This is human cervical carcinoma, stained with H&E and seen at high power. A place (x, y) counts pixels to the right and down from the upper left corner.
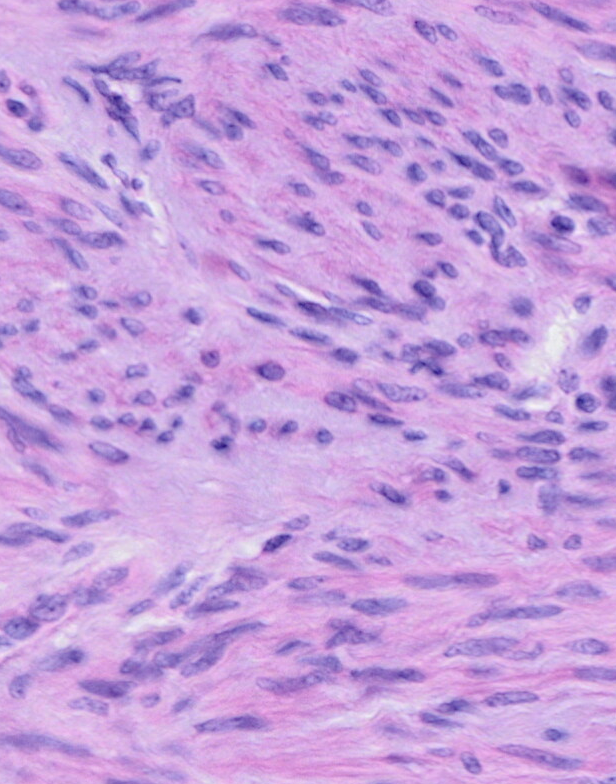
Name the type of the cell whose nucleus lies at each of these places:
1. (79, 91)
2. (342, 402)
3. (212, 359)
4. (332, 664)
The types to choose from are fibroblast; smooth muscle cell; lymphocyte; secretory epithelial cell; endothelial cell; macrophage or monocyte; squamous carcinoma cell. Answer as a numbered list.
1. fibroblast
2. smooth muscle cell
3. smooth muscle cell
4. smooth muscle cell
